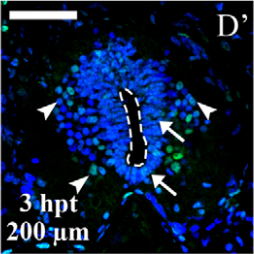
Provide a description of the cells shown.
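A cross-section of spinal cord with a narrow slit-like central canal running vertically at its centre, outlined by a dashed line. Around it lies a dense ventricular zone of crowded, elongated blue nuclei arranged radially toward the canal. Further out, in the grey matter, green nuclei are scattered more loosely among fewer blue nuclei. Beyond them the tissue becomes darker and sparser, and some isolated nuclei lie at the lower margin outside the cord.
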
